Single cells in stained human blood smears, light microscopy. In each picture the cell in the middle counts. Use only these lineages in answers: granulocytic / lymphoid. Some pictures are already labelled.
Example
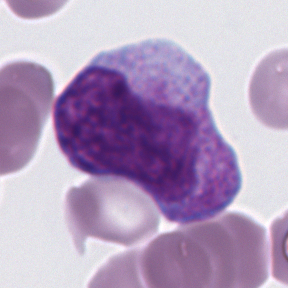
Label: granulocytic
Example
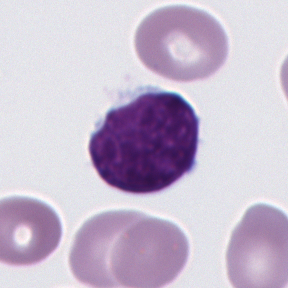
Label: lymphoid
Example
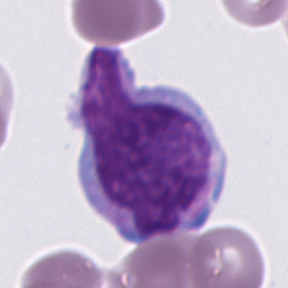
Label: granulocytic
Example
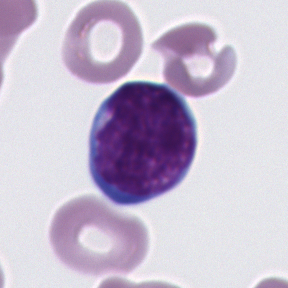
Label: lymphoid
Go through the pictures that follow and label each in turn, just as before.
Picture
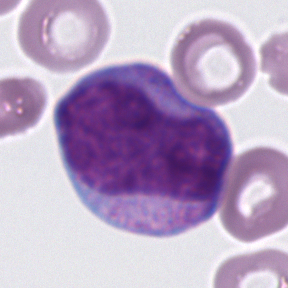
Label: granulocytic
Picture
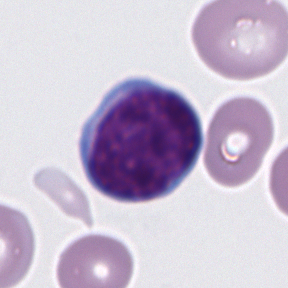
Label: lymphoid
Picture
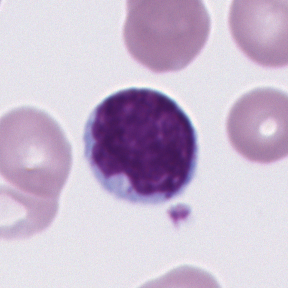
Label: lymphoid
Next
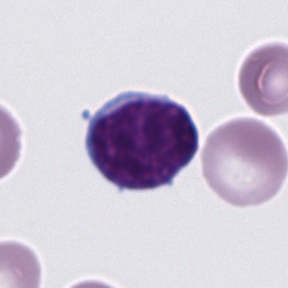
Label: lymphoid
